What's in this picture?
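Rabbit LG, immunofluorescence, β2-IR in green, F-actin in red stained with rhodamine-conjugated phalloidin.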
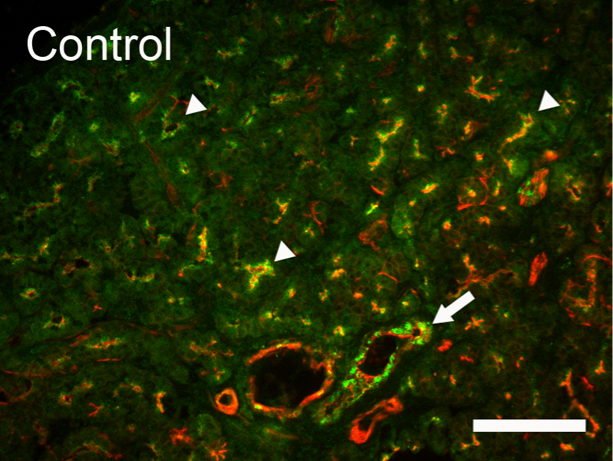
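This is glandular tissue made of many small acinar units of acinar cells, with a few ducts and vessels in the lower part of the field. Each acinus shows faint green cytoplasm with brighter green puncta that gather around a tiny central lumen outlined in red. The red lines trace the narrow luminal borders, so the acini appear as scattered yellow-orange star- or branch-shaped spots where green and red meet. Near the bottom, larger round profiles with thick red walls and dark lumina lie beside a duct whose epithelium is brightly green. The duct is clearly brighter green than the surrounding acini.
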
